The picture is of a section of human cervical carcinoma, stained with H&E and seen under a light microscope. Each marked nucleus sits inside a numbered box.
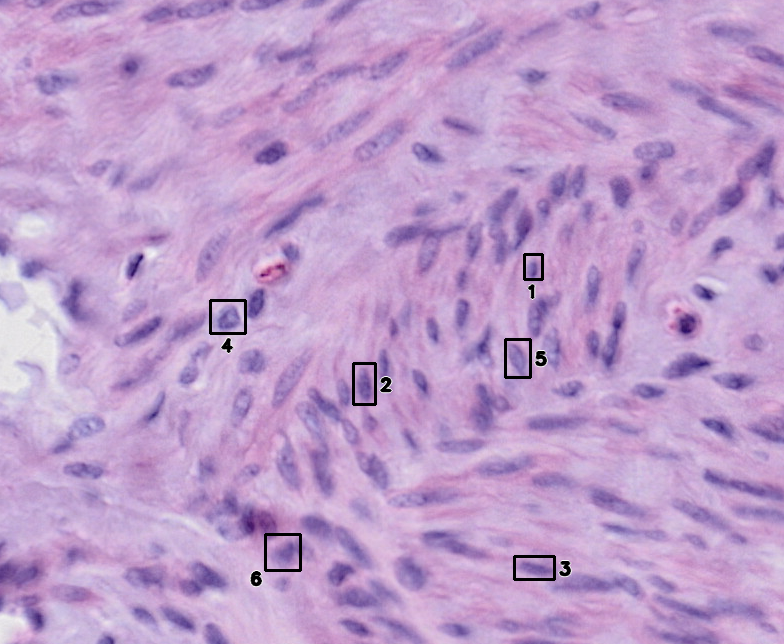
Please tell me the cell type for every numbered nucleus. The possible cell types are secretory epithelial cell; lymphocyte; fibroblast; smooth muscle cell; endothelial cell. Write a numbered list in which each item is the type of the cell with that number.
1. smooth muscle cell
2. smooth muscle cell
3. smooth muscle cell
4. fibroblast
5. smooth muscle cell
6. fibroblast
